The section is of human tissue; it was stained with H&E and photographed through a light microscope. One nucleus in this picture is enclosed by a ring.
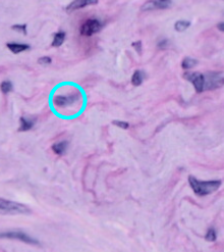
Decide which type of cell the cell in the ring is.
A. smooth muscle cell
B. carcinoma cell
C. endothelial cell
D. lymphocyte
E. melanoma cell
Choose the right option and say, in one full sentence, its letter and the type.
Option A holds, since the cell in the ring is a smooth muscle cell.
